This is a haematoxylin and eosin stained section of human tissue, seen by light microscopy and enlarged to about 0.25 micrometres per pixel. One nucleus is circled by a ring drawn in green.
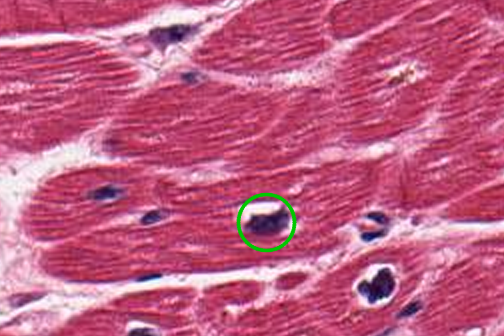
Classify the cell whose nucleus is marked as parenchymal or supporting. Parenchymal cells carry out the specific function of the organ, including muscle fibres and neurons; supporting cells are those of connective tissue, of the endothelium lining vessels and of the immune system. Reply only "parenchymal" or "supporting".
parenchymal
